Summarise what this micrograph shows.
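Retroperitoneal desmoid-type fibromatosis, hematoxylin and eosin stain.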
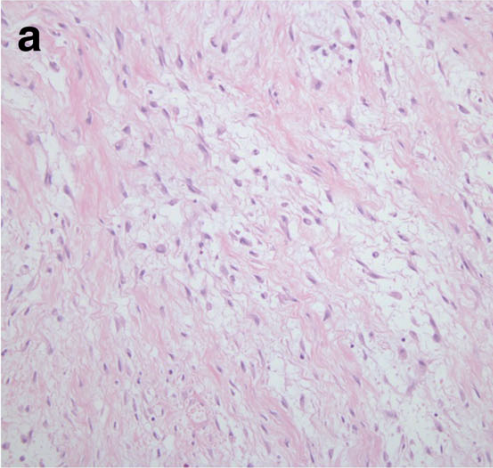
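Tumor of uniform, elongated spindle-shaped cells set in a pink collagenous stroma. The cells lie loosely spaced in vague parallel streams running diagonally across the field. Nuclei are oval to elongated, pale to moderately purple, and fairly similar in size, with only mild variation in shape. Between the cells the stroma is made of wavy pink collagen fibres with pale, loose areas in between.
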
